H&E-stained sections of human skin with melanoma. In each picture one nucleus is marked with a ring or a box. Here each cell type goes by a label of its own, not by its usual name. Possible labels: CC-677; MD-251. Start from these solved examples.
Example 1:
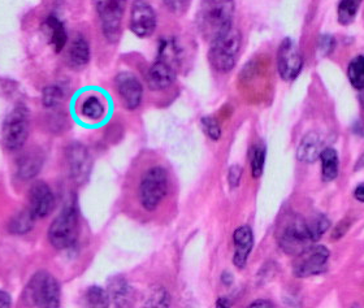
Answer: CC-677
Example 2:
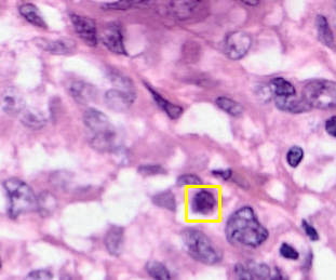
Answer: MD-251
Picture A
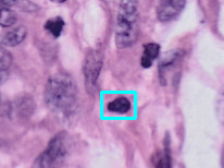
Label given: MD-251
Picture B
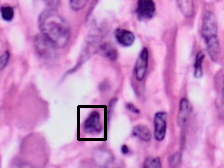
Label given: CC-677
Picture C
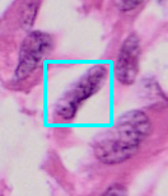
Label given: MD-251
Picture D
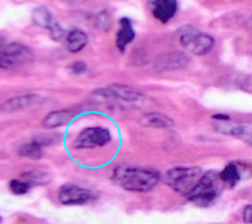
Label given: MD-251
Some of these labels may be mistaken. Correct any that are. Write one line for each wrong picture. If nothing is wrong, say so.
A should be CC-677, not MD-251
D should be CC-677, not MD-251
